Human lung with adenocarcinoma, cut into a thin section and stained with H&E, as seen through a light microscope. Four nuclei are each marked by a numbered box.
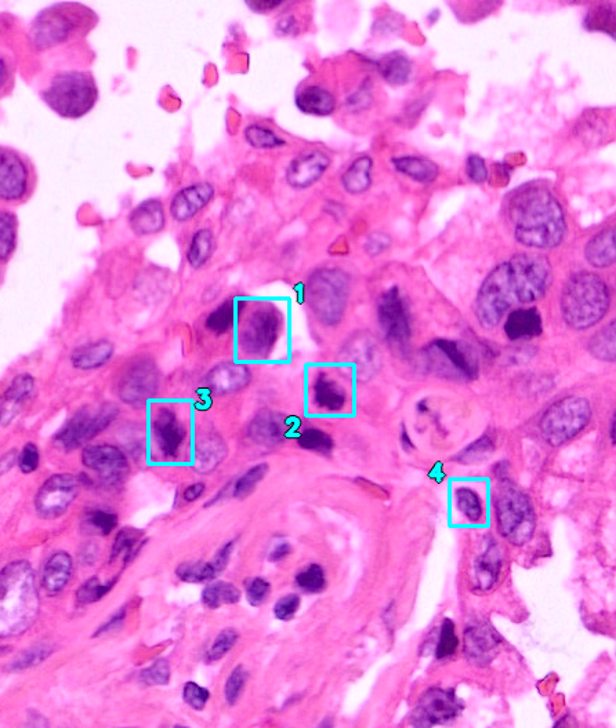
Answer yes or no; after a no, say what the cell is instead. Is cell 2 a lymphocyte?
No, it is a carcinoma cell.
